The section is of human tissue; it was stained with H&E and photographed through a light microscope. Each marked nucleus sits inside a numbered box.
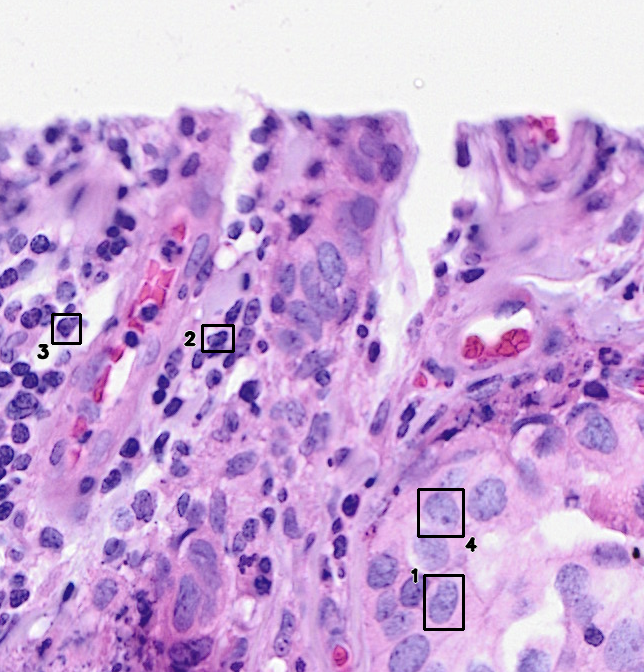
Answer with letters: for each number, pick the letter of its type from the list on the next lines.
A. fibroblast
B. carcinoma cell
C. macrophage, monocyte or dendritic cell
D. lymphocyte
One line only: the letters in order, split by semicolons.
B; D; D; B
